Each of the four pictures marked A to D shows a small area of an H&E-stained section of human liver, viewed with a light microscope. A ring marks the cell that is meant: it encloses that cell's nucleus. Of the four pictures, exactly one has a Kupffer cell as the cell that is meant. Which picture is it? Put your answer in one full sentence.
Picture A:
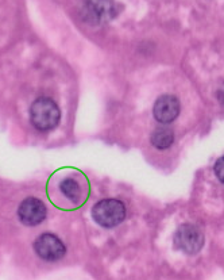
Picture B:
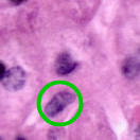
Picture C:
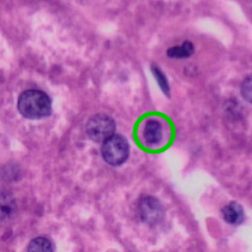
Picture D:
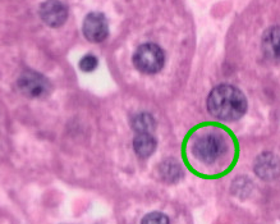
The cell in picture B is the Kupffer cell.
